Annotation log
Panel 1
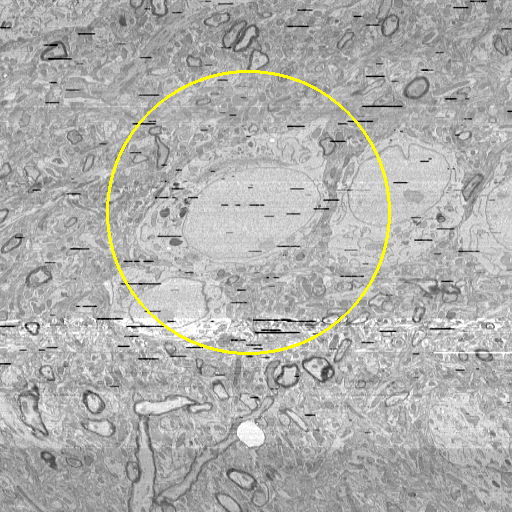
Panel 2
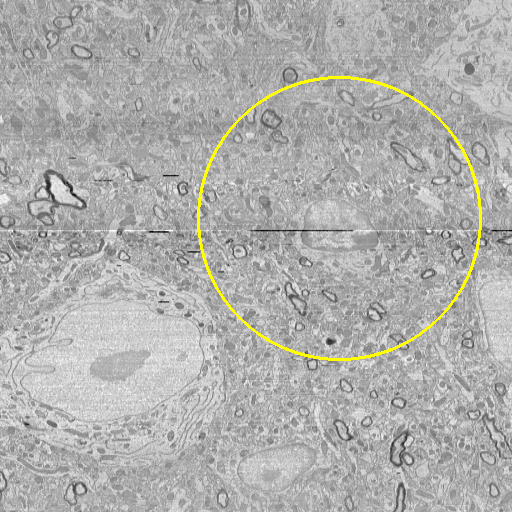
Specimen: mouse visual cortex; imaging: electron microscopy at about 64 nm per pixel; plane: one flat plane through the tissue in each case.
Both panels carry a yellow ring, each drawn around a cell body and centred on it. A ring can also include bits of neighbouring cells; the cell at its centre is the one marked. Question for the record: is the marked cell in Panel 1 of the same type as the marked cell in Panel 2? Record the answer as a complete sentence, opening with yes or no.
No, the marked cells in Panel 1 and Panel 2 are of two types.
